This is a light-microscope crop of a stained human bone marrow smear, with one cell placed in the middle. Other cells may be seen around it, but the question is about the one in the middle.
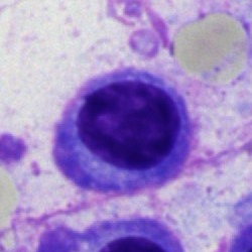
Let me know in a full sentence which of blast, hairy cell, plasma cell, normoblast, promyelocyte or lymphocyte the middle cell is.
On this slide crop, the central cell is a plasma cell.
